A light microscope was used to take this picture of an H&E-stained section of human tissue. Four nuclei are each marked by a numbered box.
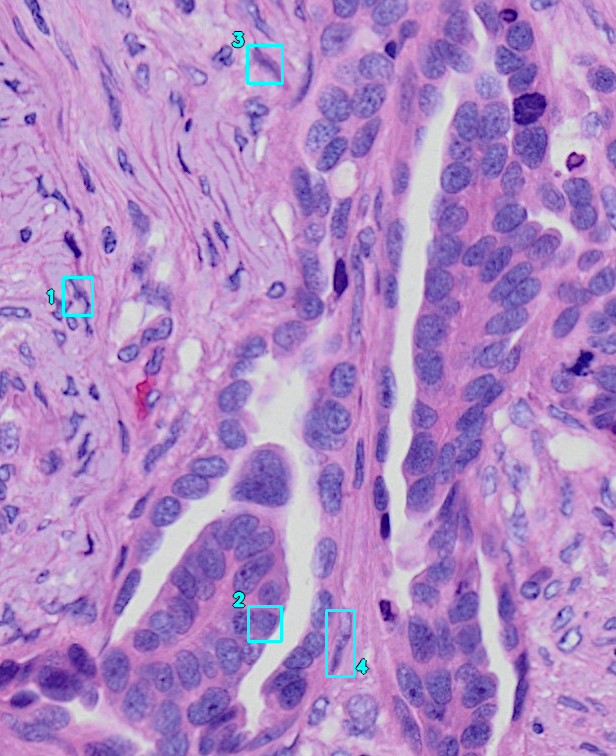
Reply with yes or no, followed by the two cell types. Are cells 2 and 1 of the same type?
No, cell 2 is a carcinoma cell and cell 1 is a fibroblast.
